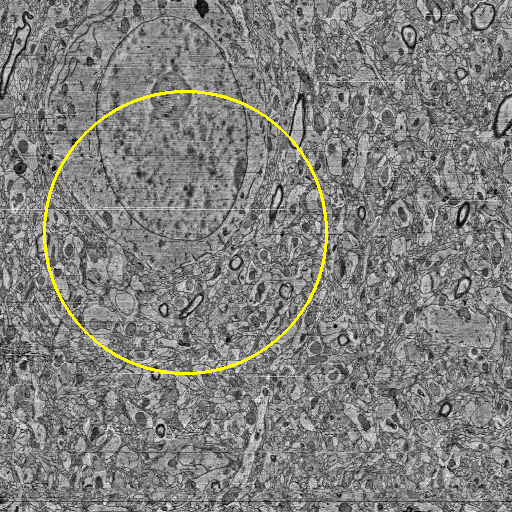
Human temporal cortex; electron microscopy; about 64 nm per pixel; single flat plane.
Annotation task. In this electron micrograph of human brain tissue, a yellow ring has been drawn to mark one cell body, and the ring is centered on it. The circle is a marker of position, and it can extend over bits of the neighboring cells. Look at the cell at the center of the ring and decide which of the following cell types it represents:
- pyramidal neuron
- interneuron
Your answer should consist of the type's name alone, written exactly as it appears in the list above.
pyramidal neuron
